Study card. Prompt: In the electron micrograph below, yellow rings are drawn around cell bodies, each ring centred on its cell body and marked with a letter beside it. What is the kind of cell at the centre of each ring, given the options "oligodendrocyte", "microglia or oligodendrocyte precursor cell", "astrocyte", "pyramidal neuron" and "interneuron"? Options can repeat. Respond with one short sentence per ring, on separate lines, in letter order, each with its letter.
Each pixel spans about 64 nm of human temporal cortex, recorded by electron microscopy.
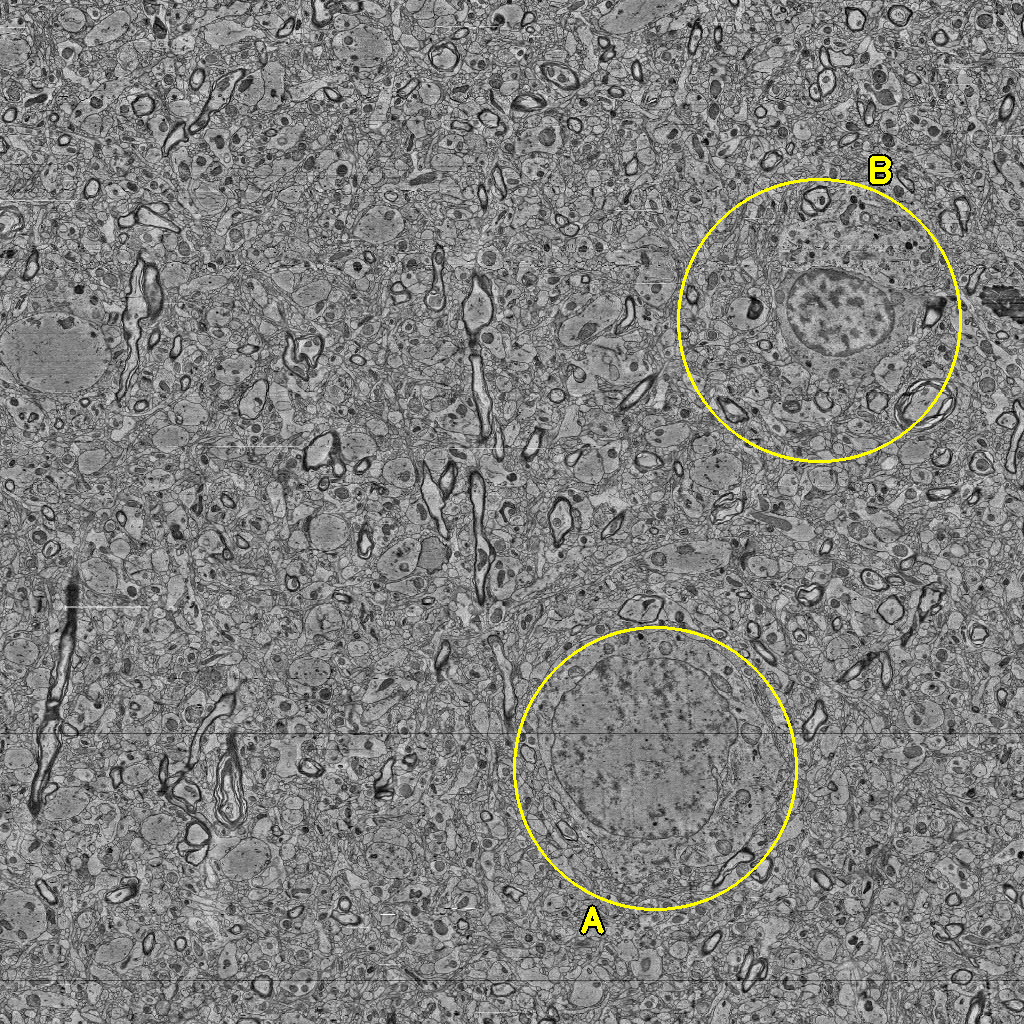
Ring A outlines a pyramidal neuron.
Ring B outlines an oligodendrocyte.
